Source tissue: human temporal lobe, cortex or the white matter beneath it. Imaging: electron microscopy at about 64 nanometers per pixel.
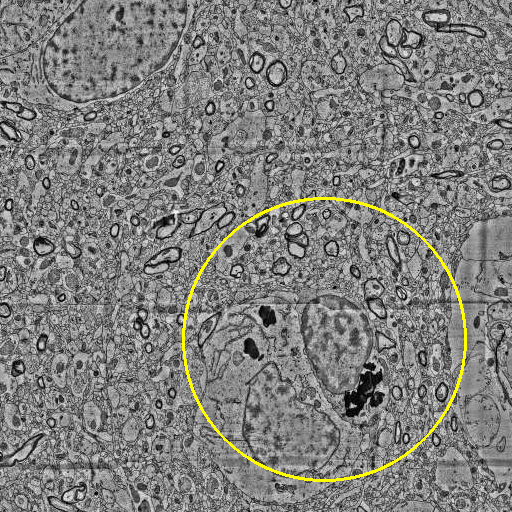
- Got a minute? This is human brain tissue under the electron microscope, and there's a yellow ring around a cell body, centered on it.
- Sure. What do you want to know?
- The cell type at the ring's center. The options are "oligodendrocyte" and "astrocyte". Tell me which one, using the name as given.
oligodendrocyte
